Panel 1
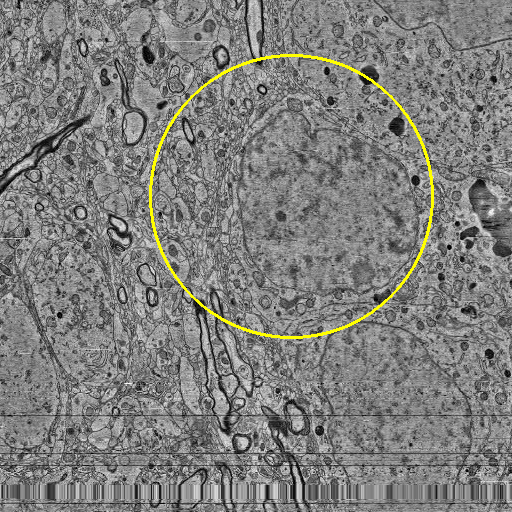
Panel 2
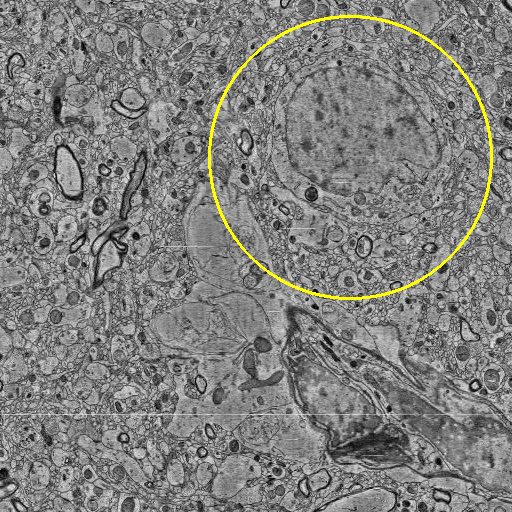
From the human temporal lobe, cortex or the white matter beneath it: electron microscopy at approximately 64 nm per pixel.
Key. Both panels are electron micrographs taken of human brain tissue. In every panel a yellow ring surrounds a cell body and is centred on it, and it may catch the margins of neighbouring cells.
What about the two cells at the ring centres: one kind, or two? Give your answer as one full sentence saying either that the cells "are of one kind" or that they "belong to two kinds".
Across Panels 1 and 2, the two cells at the ring centres are of one kind.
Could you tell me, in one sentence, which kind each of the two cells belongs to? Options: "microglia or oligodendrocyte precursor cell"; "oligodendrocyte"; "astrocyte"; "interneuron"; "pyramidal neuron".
Each cell at the centre of a ring is an interneuron.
